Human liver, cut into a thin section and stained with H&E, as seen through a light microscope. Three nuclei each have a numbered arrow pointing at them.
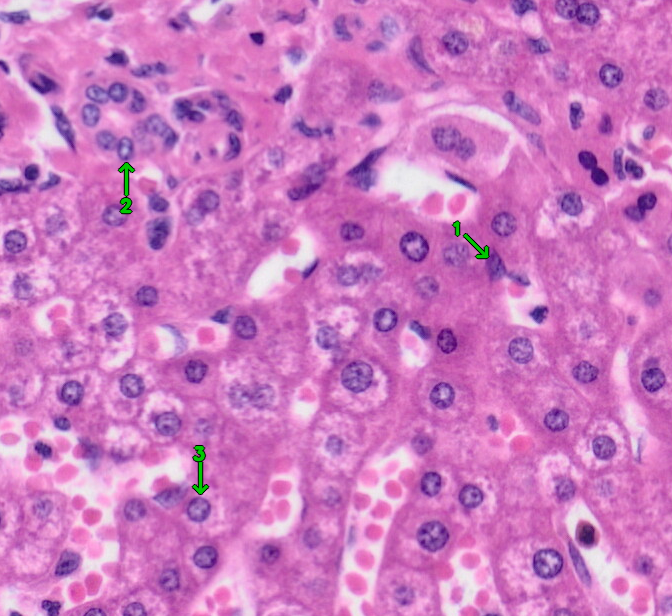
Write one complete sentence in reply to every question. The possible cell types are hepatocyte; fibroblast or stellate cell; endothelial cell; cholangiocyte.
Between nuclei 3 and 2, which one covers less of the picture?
Nucleus 2 covers less area, with nucleus 3 about 1.5 times as large.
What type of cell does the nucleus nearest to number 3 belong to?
Closest to number 3 lies the nucleus of an endothelial cell.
